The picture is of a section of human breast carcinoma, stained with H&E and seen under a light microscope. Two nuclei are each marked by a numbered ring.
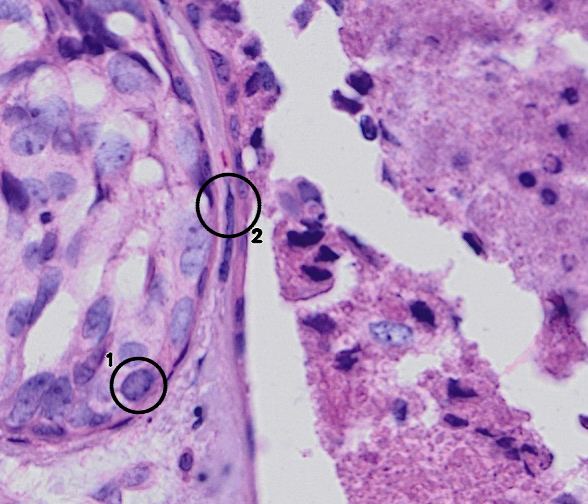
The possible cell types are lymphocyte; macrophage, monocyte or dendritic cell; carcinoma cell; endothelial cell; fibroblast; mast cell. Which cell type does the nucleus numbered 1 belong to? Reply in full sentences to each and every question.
The cell that carries the label 1 is a carcinoma cell.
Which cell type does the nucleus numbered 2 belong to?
The numbered cell 2 in this field is an endothelial cell.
